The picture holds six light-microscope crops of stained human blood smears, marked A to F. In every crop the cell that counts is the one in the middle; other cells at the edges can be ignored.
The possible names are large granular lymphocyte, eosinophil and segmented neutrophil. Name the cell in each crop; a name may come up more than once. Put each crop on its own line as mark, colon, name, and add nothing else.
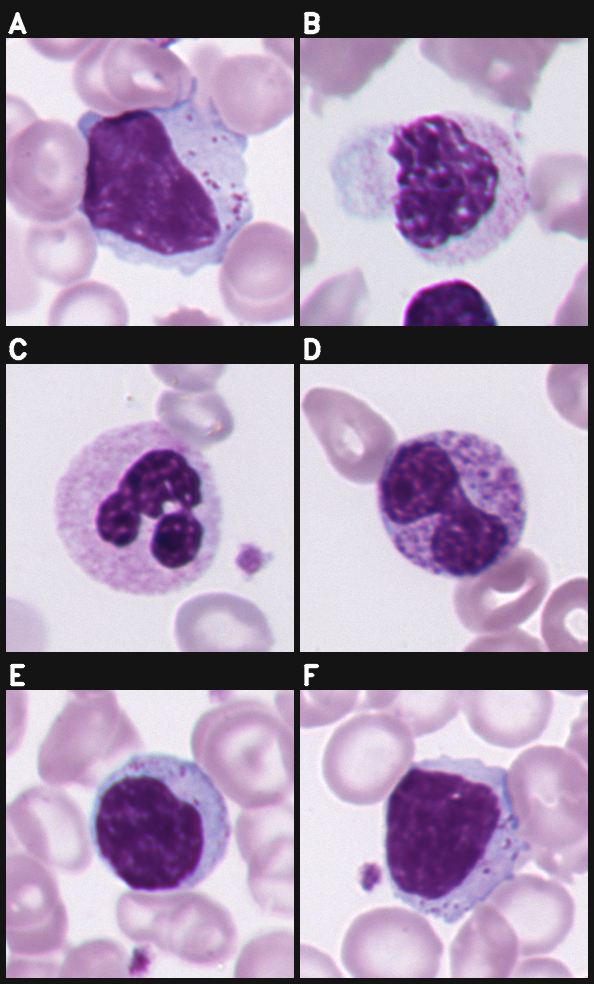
A: large granular lymphocyte
B: segmented neutrophil
C: segmented neutrophil
D: segmented neutrophil
E: large granular lymphocyte
F: large granular lymphocyte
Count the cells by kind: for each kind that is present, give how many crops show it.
large granular lymphocyte: 3
segmented neutrophil: 3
